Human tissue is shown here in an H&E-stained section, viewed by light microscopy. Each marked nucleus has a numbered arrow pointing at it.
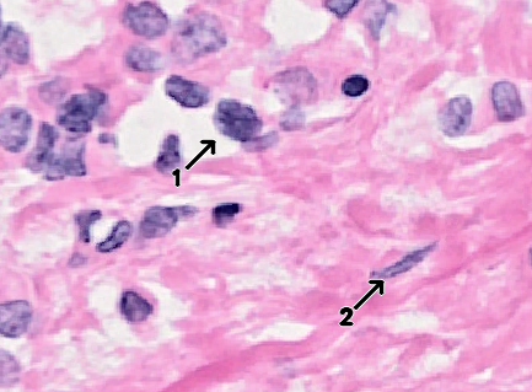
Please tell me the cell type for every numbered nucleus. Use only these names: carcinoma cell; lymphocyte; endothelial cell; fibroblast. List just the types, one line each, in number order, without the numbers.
carcinoma cell
fibroblast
